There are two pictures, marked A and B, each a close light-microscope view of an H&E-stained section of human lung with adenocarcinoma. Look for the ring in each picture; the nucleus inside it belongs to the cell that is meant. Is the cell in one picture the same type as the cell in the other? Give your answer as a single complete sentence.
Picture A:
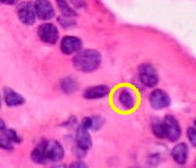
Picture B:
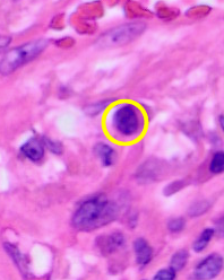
No, the types are not the same, since picture A shows a lymphocyte and picture B a plasma cell.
